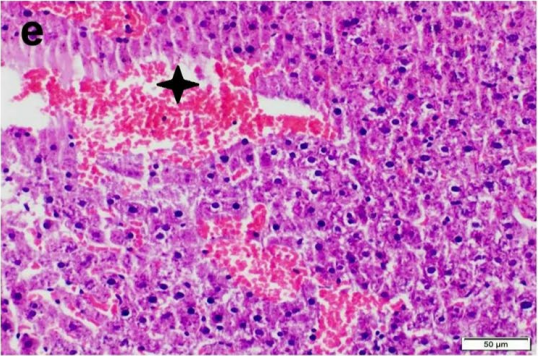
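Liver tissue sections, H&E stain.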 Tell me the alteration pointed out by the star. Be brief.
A: hepatic hemorrhage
